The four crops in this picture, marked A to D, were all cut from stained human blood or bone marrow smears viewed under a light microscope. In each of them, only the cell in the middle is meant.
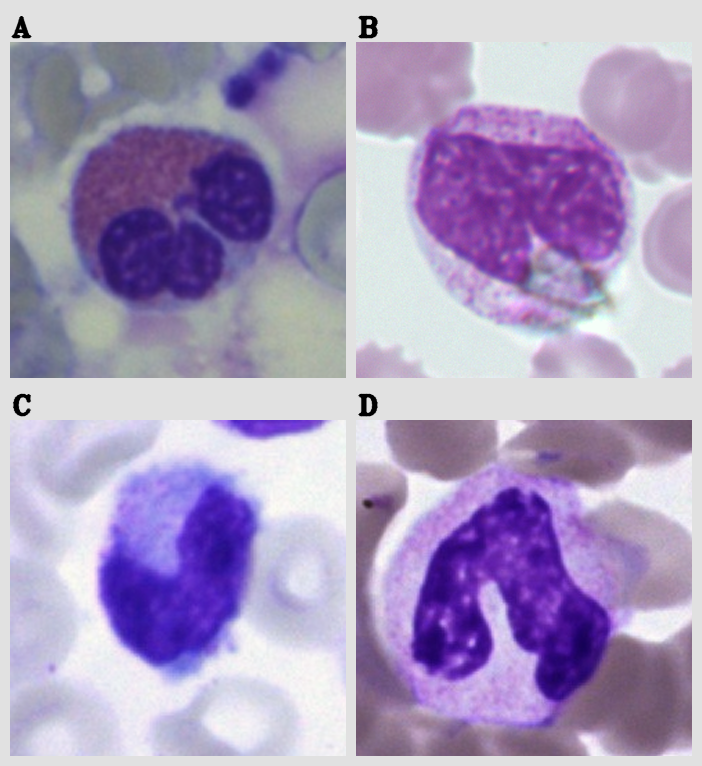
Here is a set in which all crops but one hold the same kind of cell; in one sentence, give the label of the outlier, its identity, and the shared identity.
The crop that differs is A, which is an eosinophil; the rest are band neutrophils.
